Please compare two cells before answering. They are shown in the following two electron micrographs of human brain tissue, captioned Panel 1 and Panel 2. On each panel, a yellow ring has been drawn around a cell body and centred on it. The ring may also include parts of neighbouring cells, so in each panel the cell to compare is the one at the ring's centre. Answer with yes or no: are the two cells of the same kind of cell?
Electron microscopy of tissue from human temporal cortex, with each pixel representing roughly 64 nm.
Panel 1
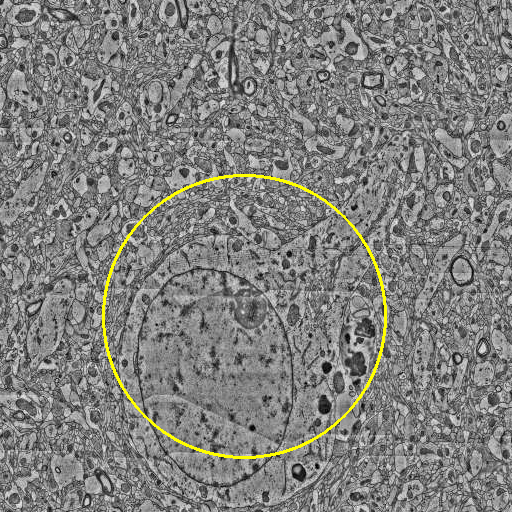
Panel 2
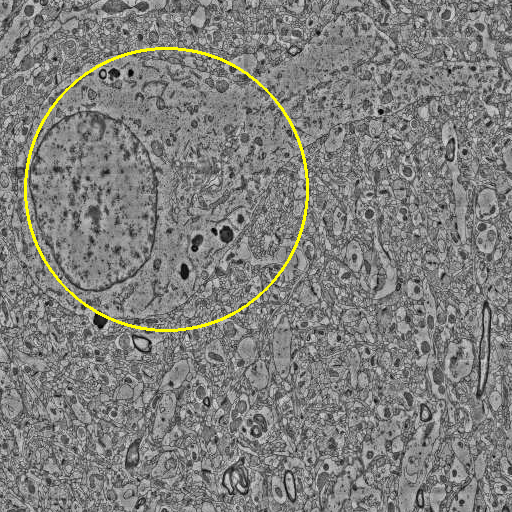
yes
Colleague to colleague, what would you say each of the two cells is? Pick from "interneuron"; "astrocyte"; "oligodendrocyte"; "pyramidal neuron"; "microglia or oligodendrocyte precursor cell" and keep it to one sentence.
In both pictures the ring is centred on a pyramidal neuron.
